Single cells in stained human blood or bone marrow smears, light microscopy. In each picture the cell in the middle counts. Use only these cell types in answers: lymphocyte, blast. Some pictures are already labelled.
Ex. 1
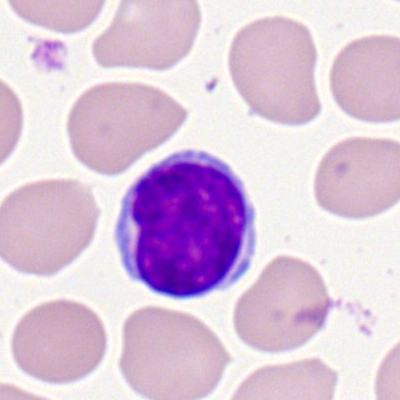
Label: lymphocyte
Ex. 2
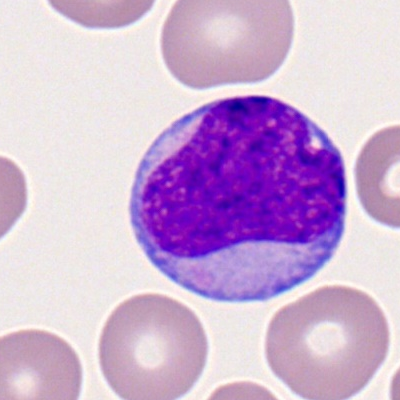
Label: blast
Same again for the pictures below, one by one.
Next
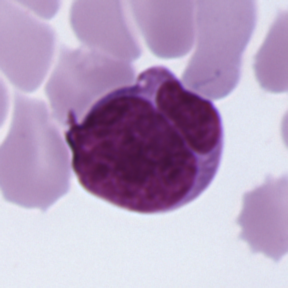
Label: blast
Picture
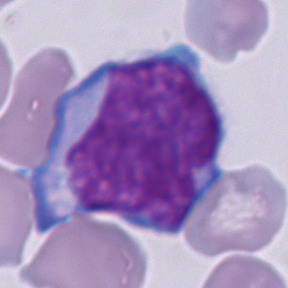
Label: blast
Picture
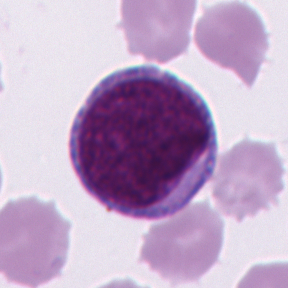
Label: blast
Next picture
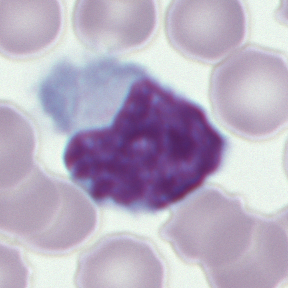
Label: lymphocyte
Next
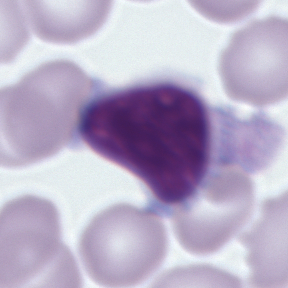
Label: lymphocyte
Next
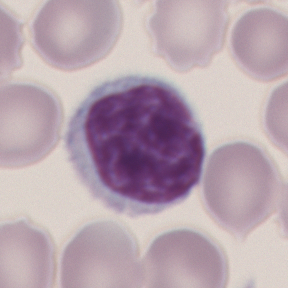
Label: lymphocyte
